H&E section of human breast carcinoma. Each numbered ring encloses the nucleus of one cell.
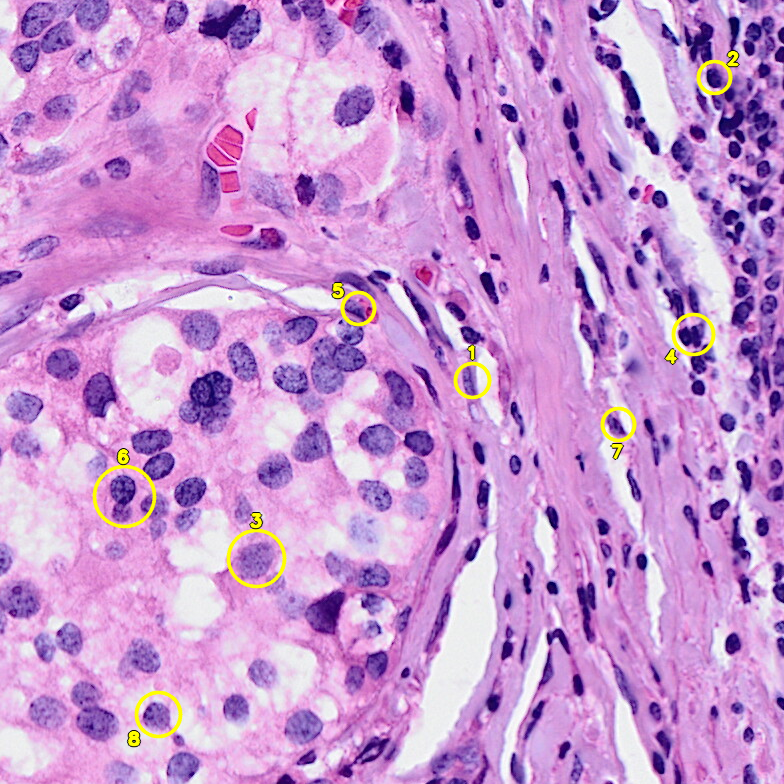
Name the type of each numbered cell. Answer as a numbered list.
1. fibroblast
2. lymphocyte
3. carcinoma cell
4. lymphocyte
5. endothelial cell
6. carcinoma cell
7. fibroblast
8. carcinoma cell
